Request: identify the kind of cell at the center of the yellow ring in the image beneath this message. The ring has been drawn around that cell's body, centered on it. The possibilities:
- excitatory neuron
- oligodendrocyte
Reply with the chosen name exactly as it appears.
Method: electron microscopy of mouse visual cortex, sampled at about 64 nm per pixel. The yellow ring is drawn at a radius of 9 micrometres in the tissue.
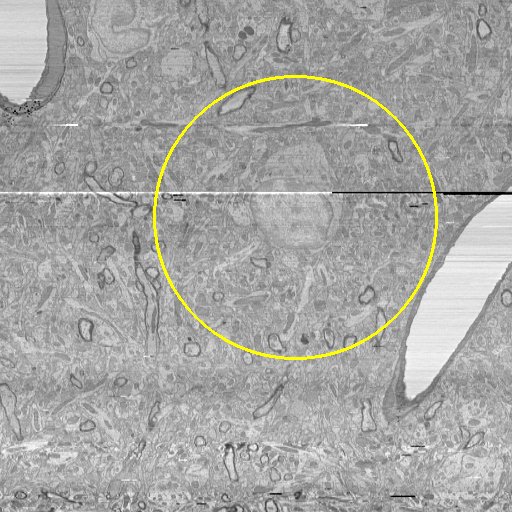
oligodendrocyte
